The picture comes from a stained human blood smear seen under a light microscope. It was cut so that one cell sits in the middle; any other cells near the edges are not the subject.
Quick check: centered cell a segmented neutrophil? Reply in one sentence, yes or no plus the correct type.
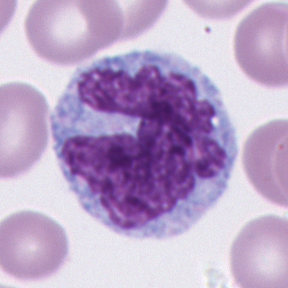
No, rather than a segmented neutrophil, the central cell is a monocyte.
